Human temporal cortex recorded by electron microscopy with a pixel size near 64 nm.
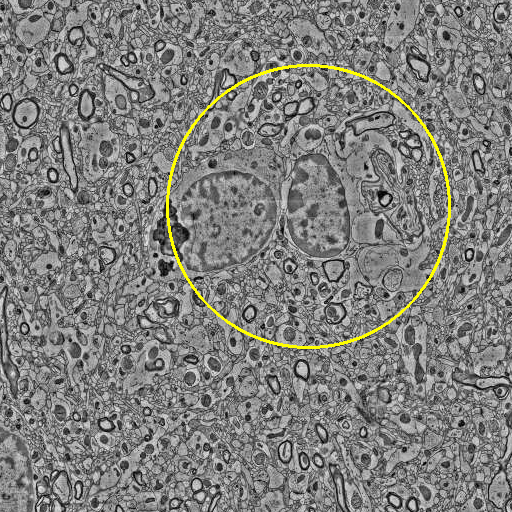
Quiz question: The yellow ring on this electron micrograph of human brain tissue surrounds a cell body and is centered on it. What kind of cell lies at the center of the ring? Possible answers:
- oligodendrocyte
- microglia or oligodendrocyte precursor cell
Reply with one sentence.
The ring's center lies on a microglial cell or oligodendrocyte precursor cell.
